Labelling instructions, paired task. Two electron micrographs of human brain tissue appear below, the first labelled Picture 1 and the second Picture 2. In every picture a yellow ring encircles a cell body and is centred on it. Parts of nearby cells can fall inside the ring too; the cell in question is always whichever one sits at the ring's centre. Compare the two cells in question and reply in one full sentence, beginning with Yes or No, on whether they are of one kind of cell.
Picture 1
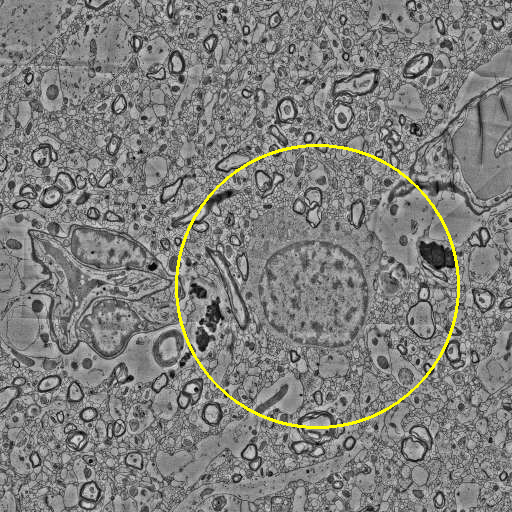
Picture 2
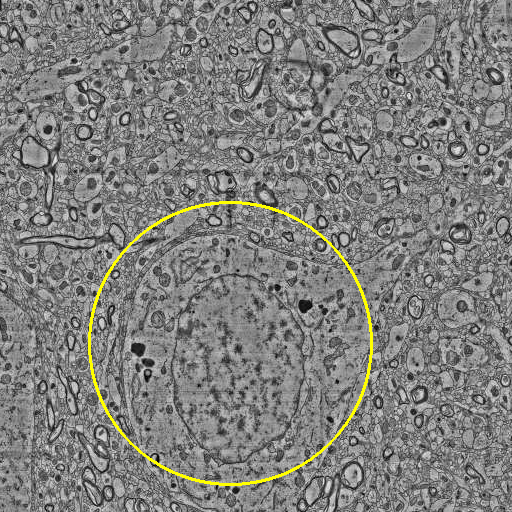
No, the two cells at the ring centres in Picture 1 and Picture 2 are of two kinds.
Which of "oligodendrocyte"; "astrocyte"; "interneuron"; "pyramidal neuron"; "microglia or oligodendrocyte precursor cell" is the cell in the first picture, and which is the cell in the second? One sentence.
The two differ: the first cell is an oligodendrocyte and the second is a pyramidal neuron.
